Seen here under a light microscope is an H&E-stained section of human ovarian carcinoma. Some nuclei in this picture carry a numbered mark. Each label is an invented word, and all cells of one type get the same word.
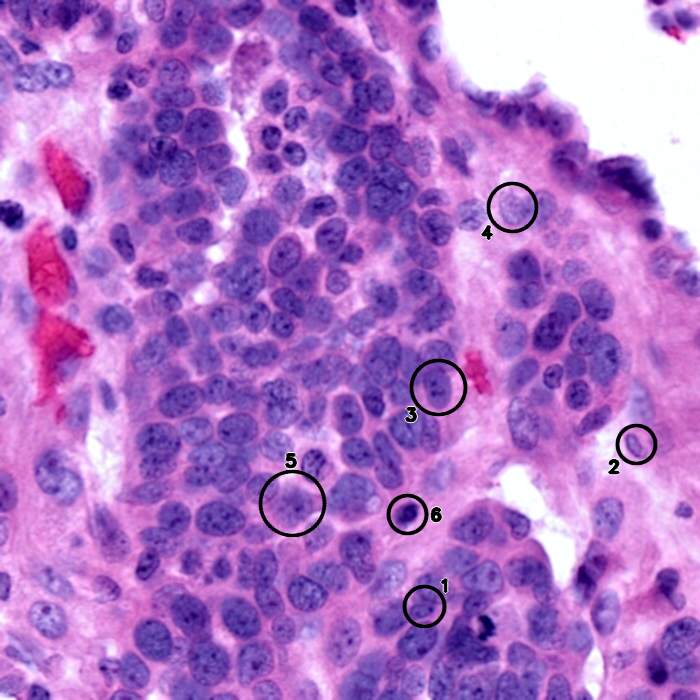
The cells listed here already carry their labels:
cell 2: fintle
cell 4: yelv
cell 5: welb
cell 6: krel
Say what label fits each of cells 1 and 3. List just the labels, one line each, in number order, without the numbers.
welb
welb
